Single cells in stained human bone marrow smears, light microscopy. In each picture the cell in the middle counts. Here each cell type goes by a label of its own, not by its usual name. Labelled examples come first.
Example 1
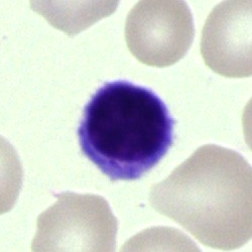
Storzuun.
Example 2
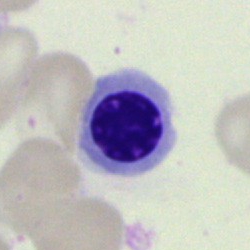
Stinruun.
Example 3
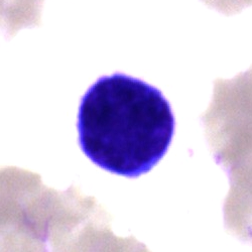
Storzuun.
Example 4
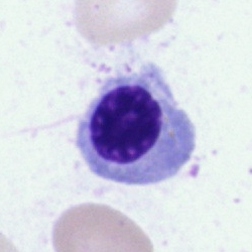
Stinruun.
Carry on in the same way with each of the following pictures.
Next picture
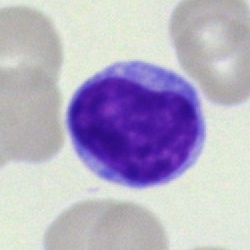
Storzuun.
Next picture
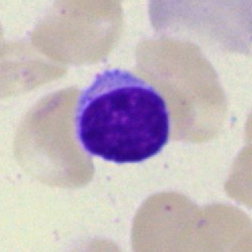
Storzuun.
